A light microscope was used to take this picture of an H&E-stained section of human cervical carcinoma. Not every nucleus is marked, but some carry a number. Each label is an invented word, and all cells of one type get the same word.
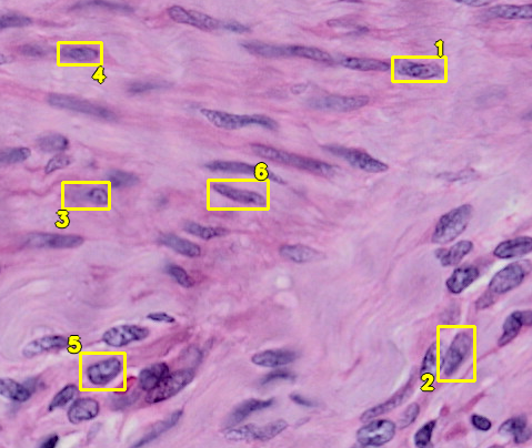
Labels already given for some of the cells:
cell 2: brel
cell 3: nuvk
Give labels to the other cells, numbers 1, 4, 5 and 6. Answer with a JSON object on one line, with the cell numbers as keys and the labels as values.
{"1": "nuvk", "4": "nuvk", "5": "brel", "6": "nuvk"}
